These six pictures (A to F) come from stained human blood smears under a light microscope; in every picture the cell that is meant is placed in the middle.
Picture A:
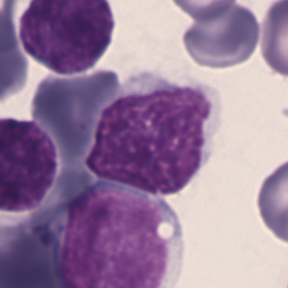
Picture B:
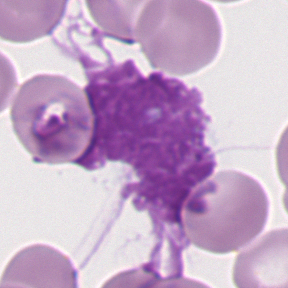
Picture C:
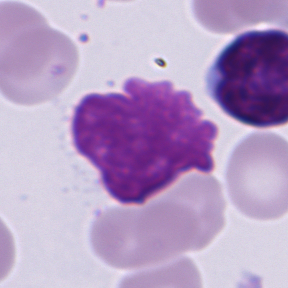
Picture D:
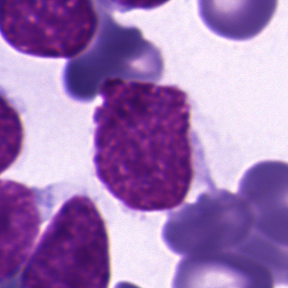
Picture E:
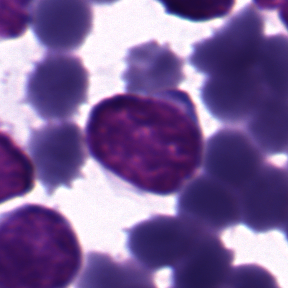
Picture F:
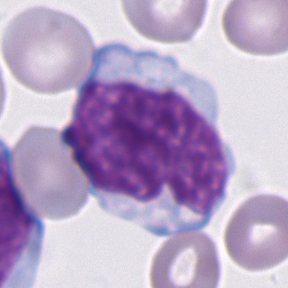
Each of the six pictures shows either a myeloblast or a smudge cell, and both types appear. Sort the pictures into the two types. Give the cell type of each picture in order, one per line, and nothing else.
myeloblast
smudge cell
smudge cell
myeloblast
myeloblast
myeloblast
